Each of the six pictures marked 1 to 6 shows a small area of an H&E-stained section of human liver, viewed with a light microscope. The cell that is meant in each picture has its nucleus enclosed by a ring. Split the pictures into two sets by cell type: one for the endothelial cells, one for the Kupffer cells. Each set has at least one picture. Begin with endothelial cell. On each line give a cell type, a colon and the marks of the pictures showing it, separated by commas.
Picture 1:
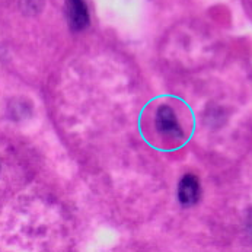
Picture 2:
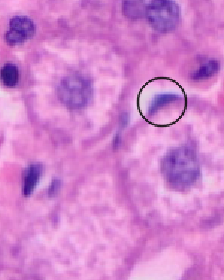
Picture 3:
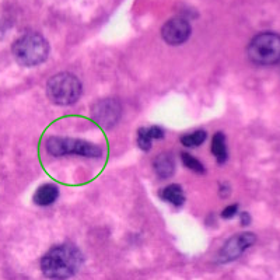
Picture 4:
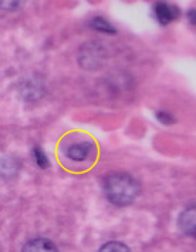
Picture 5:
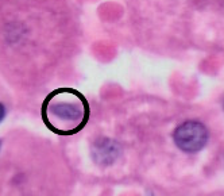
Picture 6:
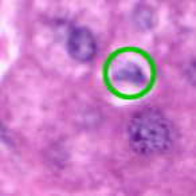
endothelial cell: 1, 2
Kupffer cell: 3, 4, 5, 6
